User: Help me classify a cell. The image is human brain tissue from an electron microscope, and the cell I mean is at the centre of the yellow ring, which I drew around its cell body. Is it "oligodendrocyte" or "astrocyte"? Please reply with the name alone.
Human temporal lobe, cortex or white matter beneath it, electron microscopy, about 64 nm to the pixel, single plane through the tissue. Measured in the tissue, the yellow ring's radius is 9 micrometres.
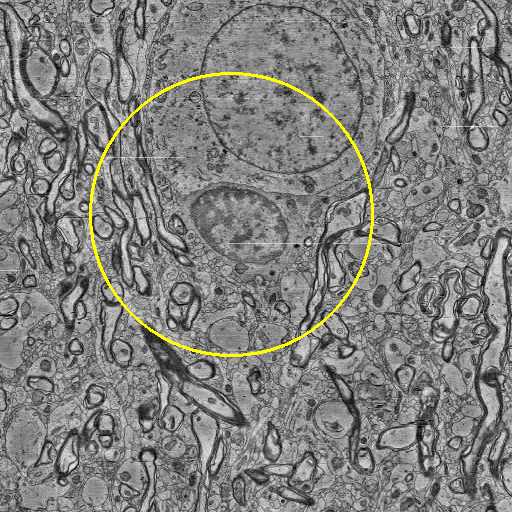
oligodendrocyte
